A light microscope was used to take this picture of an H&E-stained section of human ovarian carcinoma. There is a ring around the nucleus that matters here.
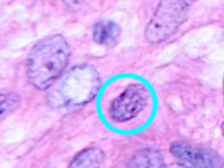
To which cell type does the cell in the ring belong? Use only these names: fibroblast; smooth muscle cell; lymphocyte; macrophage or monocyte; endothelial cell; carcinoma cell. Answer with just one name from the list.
macrophage or monocyte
